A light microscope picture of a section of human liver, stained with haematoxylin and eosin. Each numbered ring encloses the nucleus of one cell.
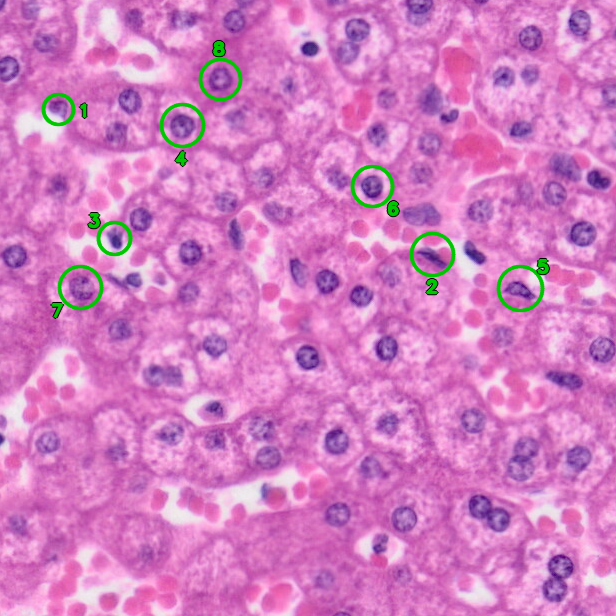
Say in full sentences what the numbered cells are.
Cell 1 is a fibroblast or stellate cell, cell 2 is an endothelial cell, cell 3 is a lymphocyte, cell 4 is a hepatocyte, cell 5 is a fibroblast or stellate cell, cell 6 is a hepatocyte, cell 7 is a hepatocyte and cell 8 is a hepatocyte.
